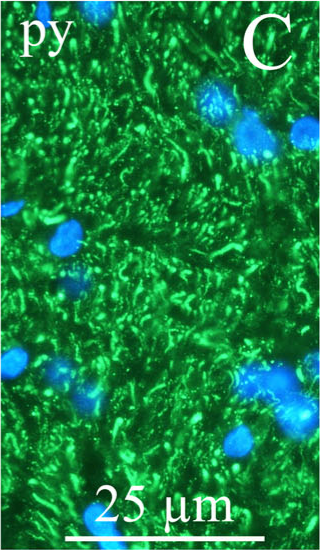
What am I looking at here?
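This is a close view of a fiber tract in the brainstem, filled with labelled nerve fibers. The green label outlines many short, wavy fiber segments, some thin and some noticeably thicker, running mostly in one direction. Round and oval blue nuclei of glial cells lie scattered between the fibers.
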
